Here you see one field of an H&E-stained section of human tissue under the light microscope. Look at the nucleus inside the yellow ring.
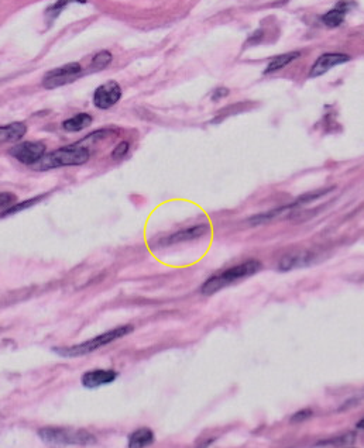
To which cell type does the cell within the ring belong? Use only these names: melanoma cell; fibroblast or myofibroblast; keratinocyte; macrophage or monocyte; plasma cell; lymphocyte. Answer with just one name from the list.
macrophage or monocyte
